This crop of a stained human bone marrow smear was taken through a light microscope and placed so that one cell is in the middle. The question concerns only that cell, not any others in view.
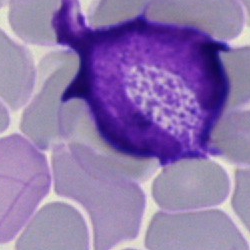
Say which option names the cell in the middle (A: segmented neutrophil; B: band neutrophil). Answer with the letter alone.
B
